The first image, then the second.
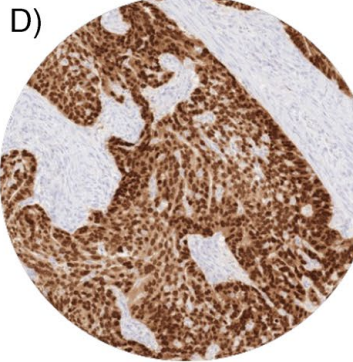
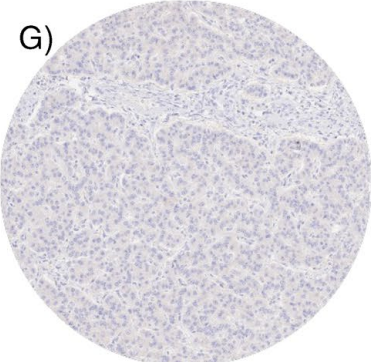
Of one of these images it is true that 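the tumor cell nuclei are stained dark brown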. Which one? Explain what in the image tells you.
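Second image: tumor cells show only blue counterstained nuclei with no brown. First image: nearly every tumor nucleus is dark brown. The answer: the first image.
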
